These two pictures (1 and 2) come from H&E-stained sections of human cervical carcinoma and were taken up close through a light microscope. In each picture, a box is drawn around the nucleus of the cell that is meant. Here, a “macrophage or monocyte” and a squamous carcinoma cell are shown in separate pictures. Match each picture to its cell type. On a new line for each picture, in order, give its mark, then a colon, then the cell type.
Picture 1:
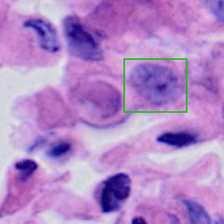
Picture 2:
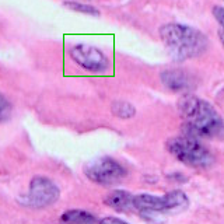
1: macrophage or monocyte
2: squamous carcinoma cell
